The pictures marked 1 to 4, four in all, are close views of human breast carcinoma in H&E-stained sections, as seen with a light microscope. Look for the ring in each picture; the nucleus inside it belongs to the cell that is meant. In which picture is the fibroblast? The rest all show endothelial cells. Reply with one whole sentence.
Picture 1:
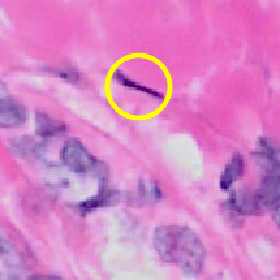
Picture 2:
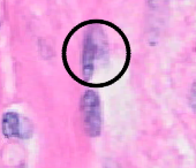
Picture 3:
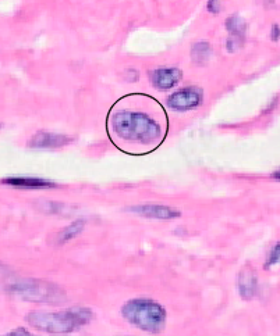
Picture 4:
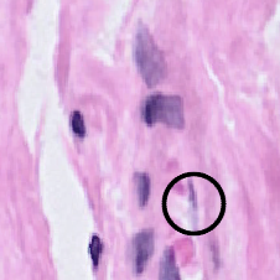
The picture with the fibroblast is 1.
